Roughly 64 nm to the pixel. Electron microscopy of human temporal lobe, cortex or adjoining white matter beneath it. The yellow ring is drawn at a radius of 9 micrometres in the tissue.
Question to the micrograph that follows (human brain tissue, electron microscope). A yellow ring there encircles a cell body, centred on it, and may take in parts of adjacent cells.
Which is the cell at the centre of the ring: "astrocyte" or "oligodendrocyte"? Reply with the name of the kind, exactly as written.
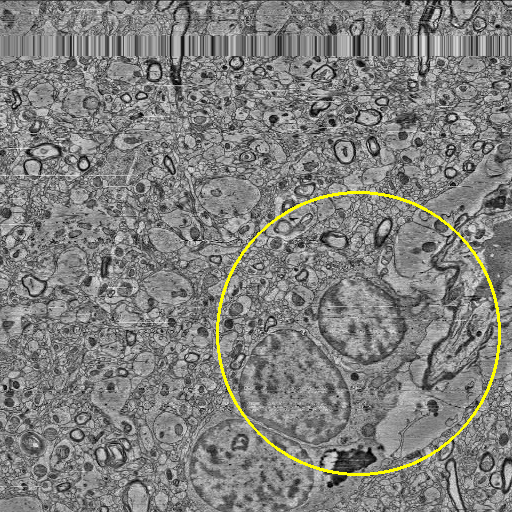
oligodendrocyte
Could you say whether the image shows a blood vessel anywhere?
Yes, the picture includes a blood vessel.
